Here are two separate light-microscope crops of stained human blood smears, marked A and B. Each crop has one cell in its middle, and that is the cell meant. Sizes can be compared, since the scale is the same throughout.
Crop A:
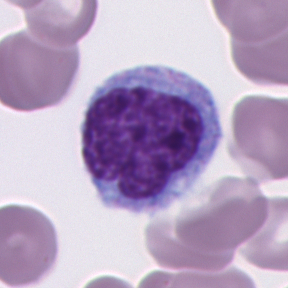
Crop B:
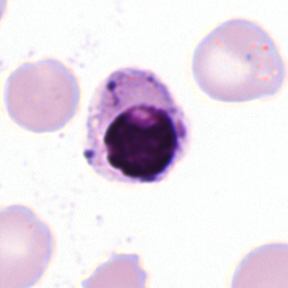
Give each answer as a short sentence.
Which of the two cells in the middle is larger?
Crop A holds the larger cell; it covers about 2 times the area of the cell in crop B.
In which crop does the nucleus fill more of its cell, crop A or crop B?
In crop A the nucleus takes up the larger part of its cell.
